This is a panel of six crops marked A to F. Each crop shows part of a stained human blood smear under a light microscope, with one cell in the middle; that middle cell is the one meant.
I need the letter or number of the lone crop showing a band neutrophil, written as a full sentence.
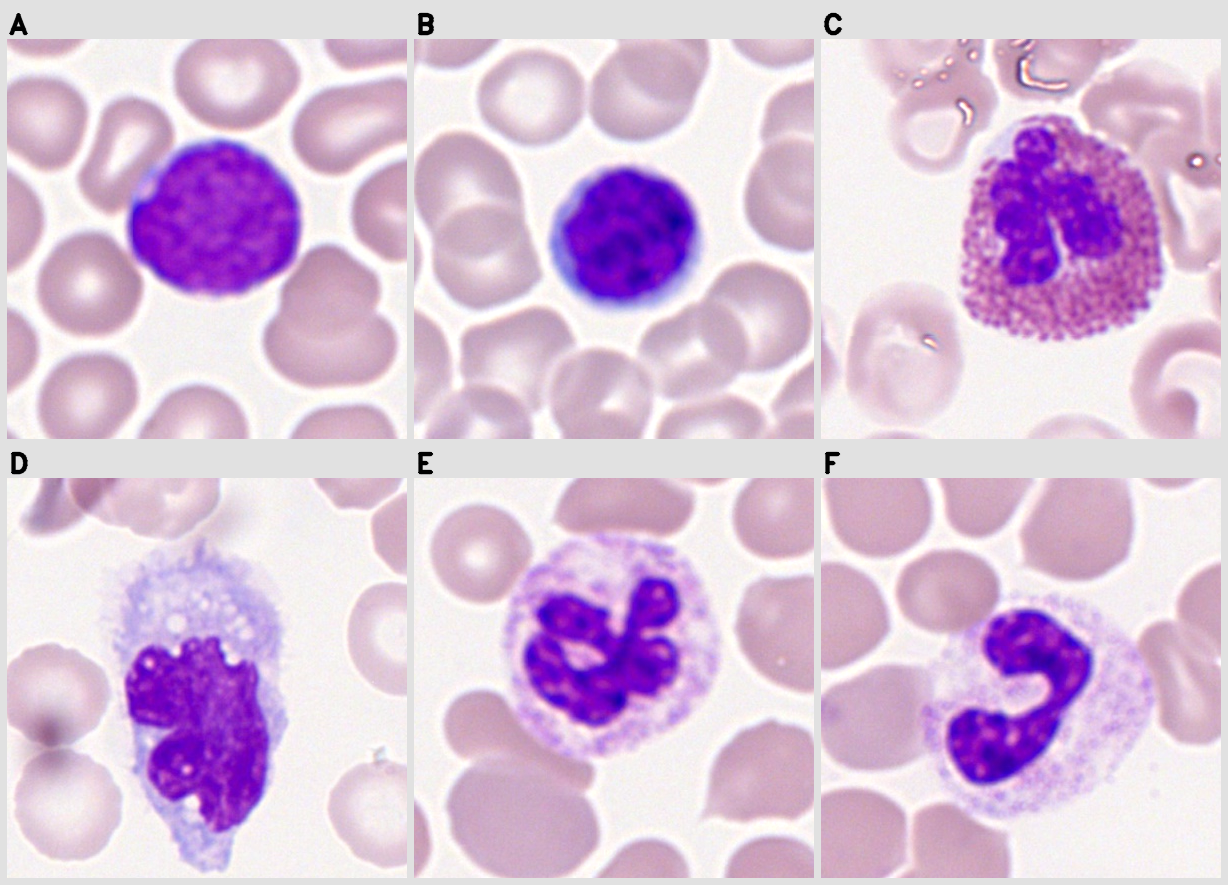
Selected crop: F, which is the one that shows a band neutrophil.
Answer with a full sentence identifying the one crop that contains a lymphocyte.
The one showing a lymphocyte is the crop labelled B.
